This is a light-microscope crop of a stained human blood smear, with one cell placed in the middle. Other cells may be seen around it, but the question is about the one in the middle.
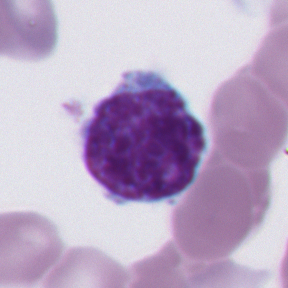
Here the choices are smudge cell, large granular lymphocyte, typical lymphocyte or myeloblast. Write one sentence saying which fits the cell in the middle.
At the middle of the frame sits a typical lymphocyte.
